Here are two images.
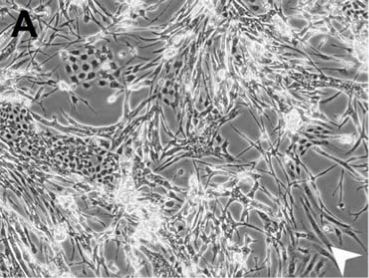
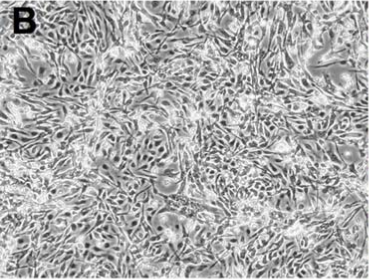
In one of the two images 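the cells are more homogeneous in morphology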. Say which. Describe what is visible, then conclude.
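Second image: the field is filled fairly evenly with similar small elongated and polygonal cells. First image: long spindle-shaped cells, patches of flat polygonal cells and open areas are mixed across the field. The answer: the second image.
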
